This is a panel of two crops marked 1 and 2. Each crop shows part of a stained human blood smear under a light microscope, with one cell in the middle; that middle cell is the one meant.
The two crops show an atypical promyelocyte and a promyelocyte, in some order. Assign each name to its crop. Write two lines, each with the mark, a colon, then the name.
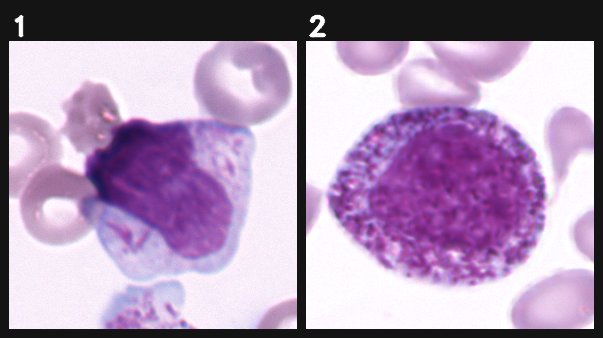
1: atypical promyelocyte
2: promyelocyte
